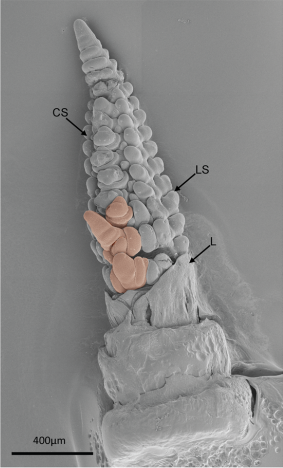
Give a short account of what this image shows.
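Scanning electron micrograph of a developing meristem of a cereal spike, seen from the side. The axis is conical and tapers to a smooth dome at the tip. Along its flanks sit rows of rounded primordia, central spikelet meristems flanked by lateral spikelet meristems, larger and more divided towards the base and small and simple near the tip. In the lower part an abnormal cluster of lobed outgrowths, false-coloured pink, projects sideways from the axis and carries its own rounded primordia, breaking the regular arrangement as a branch-like structure.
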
